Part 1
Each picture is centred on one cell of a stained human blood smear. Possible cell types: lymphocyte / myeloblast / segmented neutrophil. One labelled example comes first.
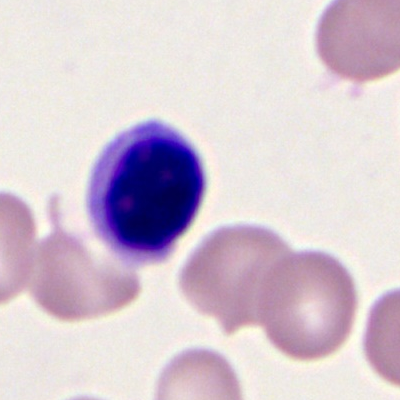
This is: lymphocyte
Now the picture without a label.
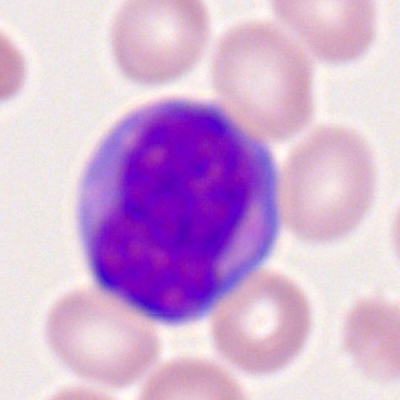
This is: myeloblast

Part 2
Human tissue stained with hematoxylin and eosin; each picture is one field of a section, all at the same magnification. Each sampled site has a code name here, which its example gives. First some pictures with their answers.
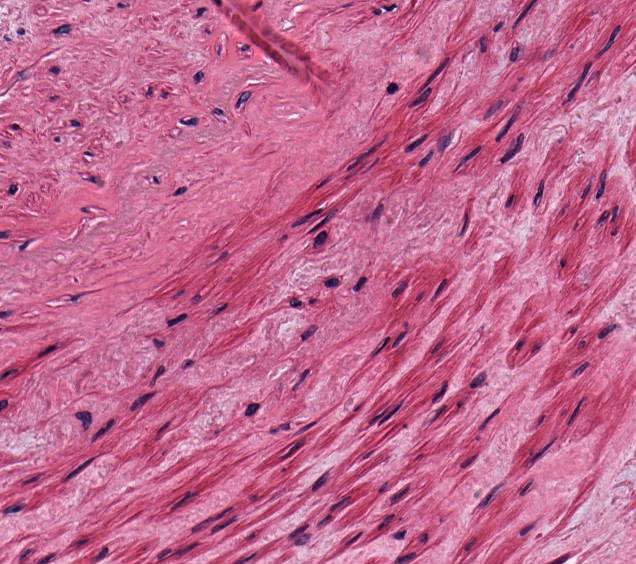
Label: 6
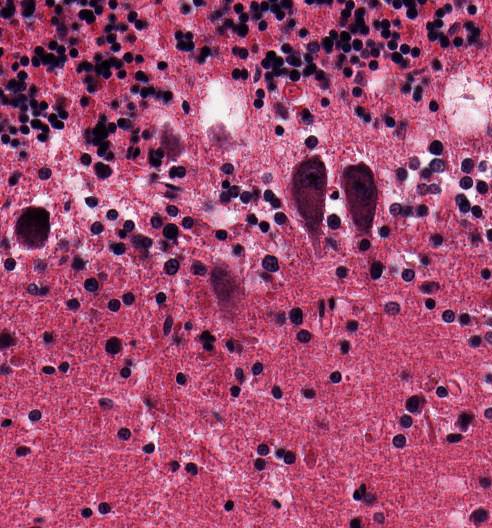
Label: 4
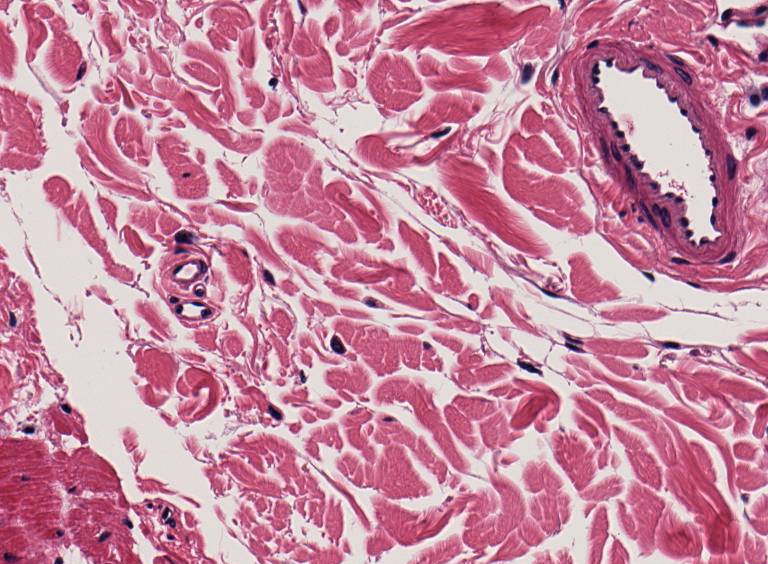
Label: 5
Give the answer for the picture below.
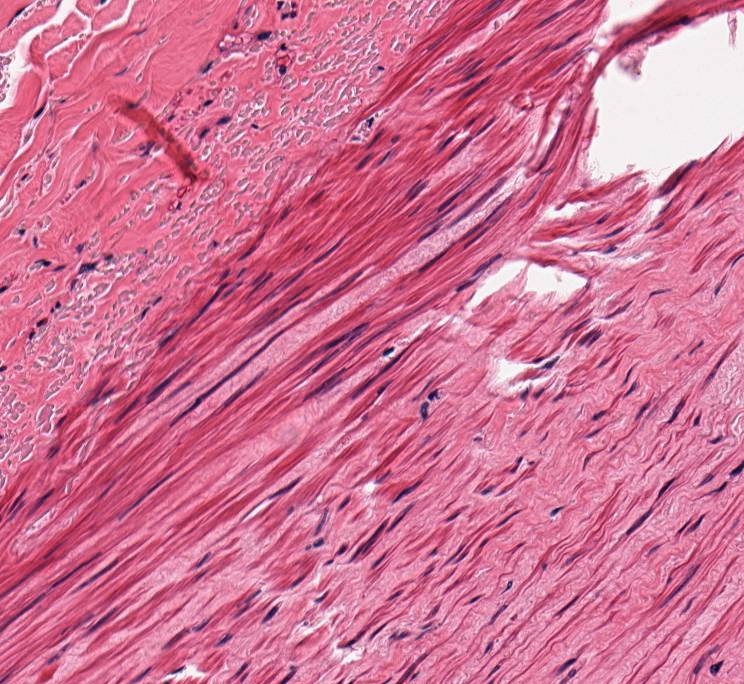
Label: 6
